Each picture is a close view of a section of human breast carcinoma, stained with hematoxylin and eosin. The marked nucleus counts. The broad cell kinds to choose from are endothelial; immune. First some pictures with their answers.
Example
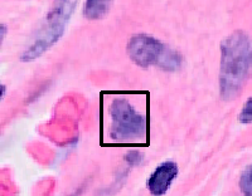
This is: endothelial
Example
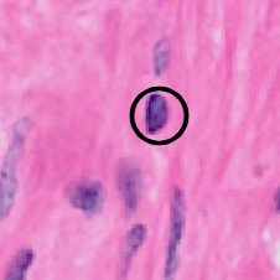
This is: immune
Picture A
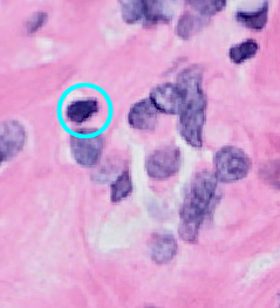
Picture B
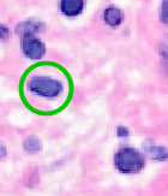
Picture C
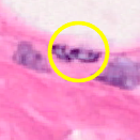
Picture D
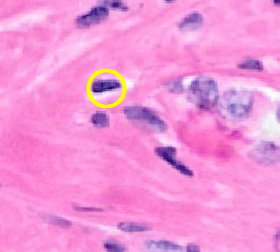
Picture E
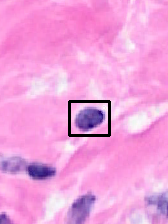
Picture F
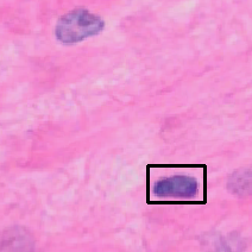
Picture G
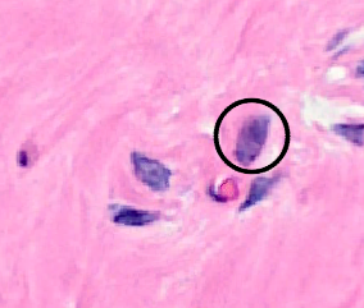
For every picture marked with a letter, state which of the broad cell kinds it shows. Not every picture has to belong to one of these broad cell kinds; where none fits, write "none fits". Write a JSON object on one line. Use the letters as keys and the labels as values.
{"A": "immune", "B": "immune", "C": "endothelial", "D": "immune", "E": "immune", "F": "immune", "G": "endothelial"}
